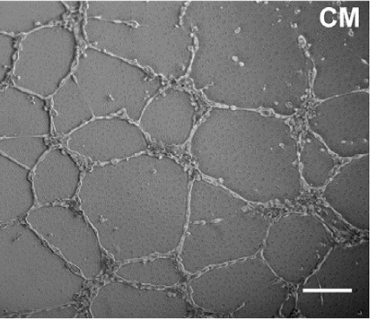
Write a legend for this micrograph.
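Endothelial cells on a gel matrix have organised into a network of tubules seen in phase contrast. The cells form thin, bright-edged cords that join at nodes where small clusters of rounded cells gather. The cords enclose large, closed polygonal spaces of empty matrix, giving a continuous mesh across the field.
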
